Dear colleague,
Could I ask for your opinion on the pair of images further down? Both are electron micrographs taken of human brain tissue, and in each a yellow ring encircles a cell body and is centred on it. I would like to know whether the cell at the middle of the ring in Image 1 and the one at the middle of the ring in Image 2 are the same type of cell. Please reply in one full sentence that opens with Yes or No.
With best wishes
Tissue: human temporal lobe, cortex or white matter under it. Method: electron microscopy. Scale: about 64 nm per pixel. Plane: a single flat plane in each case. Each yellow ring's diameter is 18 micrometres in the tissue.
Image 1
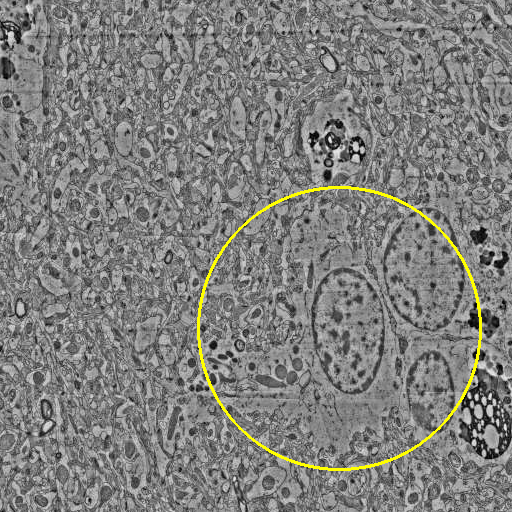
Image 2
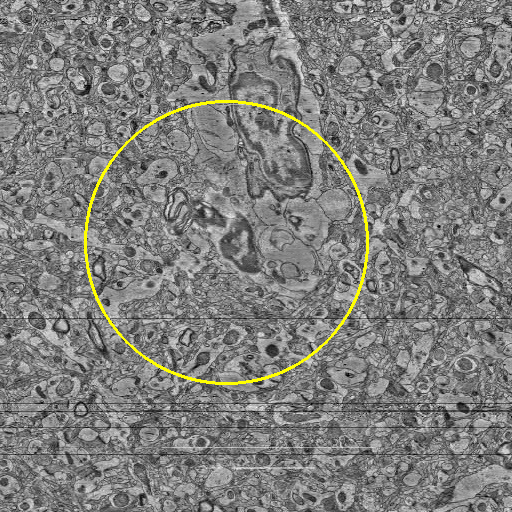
No, the cells at the ring centres in Image 1 and Image 2 are of two types.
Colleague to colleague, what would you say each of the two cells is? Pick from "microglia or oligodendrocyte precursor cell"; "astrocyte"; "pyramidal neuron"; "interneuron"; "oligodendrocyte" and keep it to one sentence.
The cell in the first picture is an astrocyte; the second picture's cell is a microglial cell or oligodendrocyte precursor cell.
